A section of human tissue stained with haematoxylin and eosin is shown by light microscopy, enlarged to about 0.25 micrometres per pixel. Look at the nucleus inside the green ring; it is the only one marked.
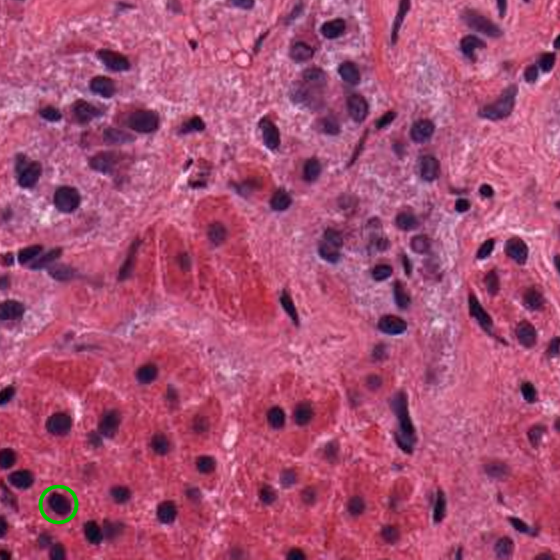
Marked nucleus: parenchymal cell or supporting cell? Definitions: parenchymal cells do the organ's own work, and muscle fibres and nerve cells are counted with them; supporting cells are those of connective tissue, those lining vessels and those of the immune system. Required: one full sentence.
The parenchymal cell containing the marked nucleus is an adrenal cortical cell.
